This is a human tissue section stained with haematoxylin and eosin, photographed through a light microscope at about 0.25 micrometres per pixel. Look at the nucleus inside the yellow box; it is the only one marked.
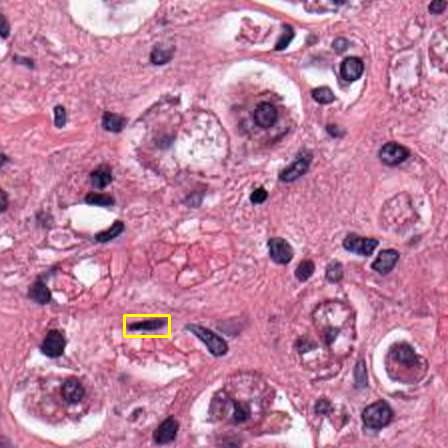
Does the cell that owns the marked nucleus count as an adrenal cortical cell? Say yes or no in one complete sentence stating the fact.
No, the marked nucleus is not borne by an adrenal cortical cell; it is borne by a supporting cell.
